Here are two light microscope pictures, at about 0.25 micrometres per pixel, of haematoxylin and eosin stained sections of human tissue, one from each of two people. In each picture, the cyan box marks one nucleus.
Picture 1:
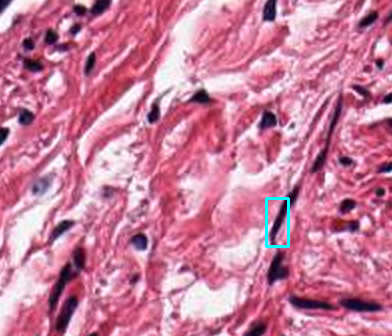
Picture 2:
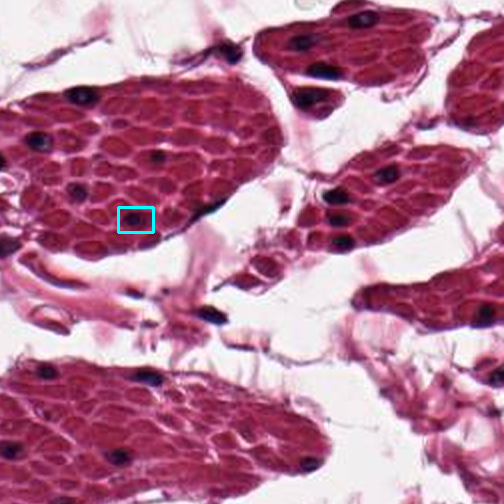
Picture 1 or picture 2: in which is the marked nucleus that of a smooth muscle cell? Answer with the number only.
2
